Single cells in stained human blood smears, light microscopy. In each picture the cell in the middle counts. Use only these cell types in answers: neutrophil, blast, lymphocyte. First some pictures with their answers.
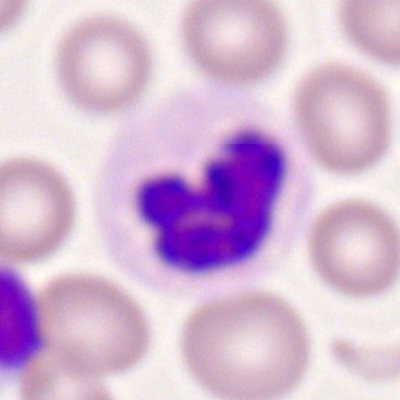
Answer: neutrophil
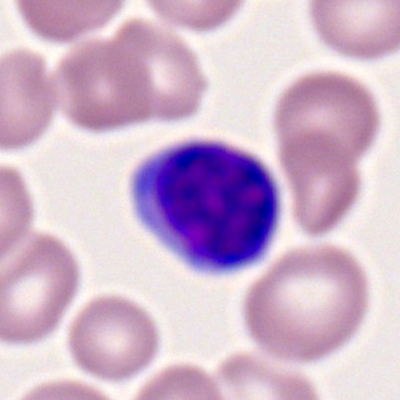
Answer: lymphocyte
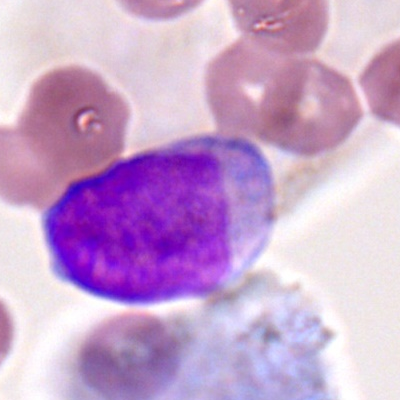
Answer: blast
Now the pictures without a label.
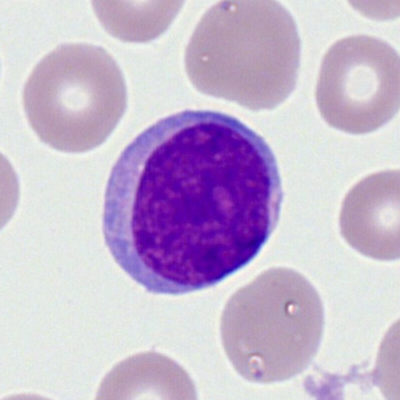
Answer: blast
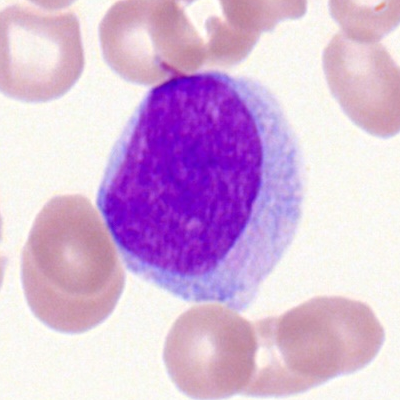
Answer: blast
